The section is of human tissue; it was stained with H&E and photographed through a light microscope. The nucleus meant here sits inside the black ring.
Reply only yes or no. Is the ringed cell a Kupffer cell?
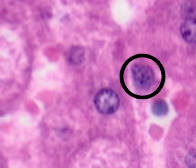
yes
